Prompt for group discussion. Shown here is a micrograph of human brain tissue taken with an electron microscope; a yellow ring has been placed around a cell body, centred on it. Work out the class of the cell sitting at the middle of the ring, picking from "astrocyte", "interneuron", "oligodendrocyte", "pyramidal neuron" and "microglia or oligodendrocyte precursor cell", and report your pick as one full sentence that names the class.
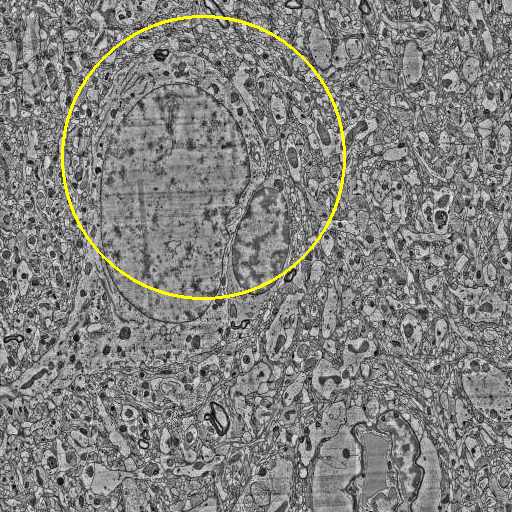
The cell sitting at the middle of the yellow ring is a pyramidal neuron.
